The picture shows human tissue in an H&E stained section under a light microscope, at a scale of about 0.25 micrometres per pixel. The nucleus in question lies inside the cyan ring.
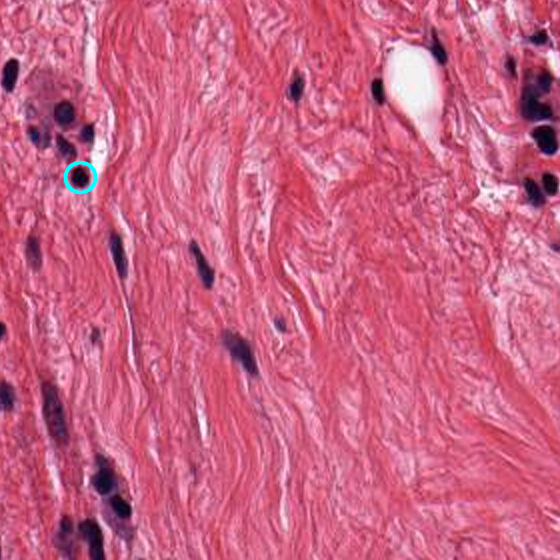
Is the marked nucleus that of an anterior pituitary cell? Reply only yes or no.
no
